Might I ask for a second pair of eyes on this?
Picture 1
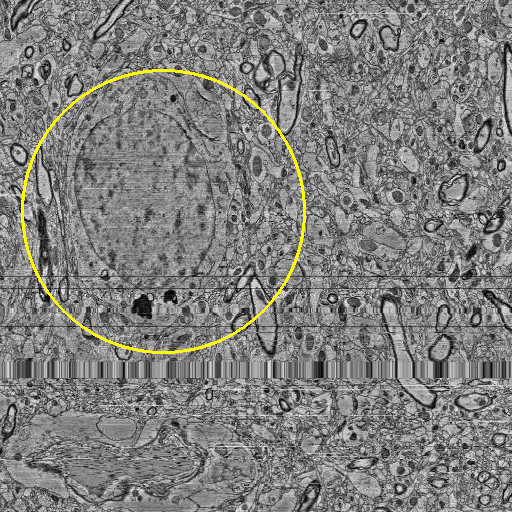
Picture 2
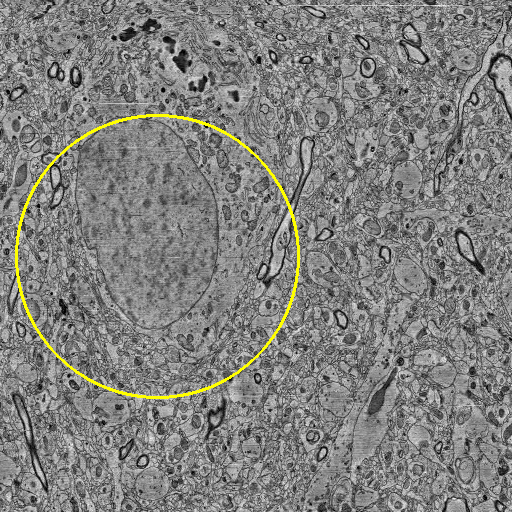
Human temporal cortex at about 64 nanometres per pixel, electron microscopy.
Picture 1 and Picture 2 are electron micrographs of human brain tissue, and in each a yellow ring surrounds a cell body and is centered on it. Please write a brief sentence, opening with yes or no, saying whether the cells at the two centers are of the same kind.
Yes, the cells are of the same kind.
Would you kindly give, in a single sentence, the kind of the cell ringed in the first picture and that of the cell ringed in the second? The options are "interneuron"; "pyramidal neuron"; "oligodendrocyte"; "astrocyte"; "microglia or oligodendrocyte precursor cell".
The cell at the ring centre is an interneuron in both pictures.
